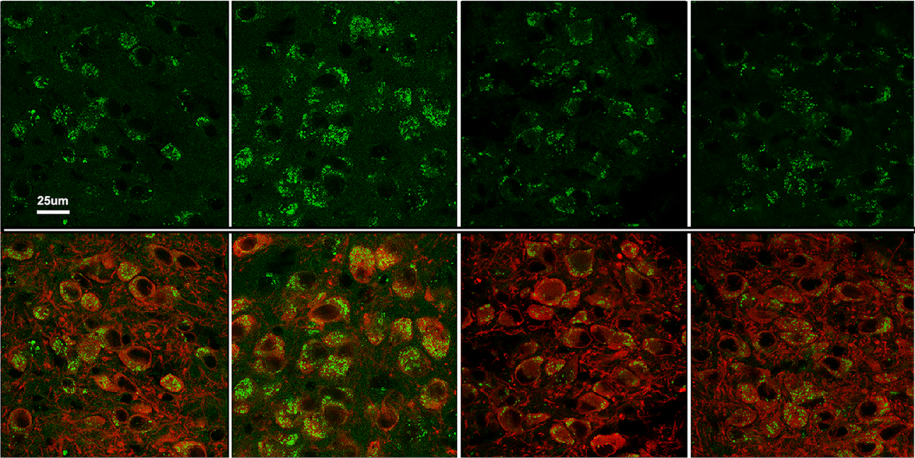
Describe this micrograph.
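The neuronal somata are large and rounded to oval, outlined and filled with red label, and a dense tangle of red fibres fills the space between them. Many somata hold green punctate granules clustered in the cytoplasm around a dark, unlabelled round nucleus, with the amount of green varying from cell to cell and across the columns.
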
